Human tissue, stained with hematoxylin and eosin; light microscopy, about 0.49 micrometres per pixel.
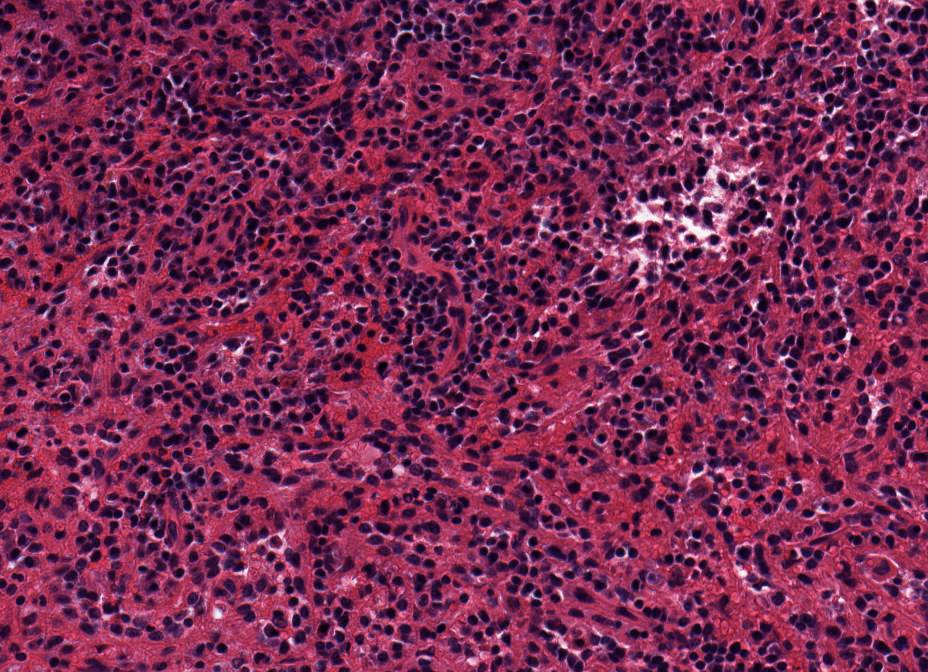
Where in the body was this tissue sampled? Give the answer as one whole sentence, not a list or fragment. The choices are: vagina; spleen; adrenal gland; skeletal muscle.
This specimen was obtained from the spleen.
